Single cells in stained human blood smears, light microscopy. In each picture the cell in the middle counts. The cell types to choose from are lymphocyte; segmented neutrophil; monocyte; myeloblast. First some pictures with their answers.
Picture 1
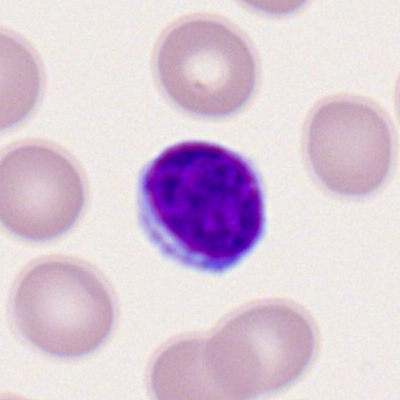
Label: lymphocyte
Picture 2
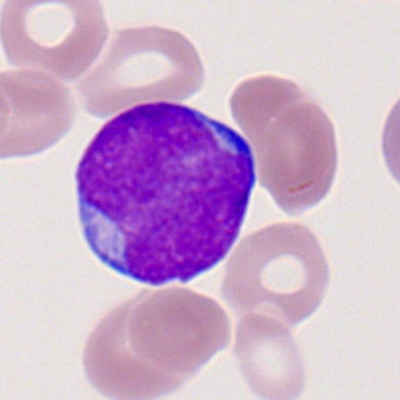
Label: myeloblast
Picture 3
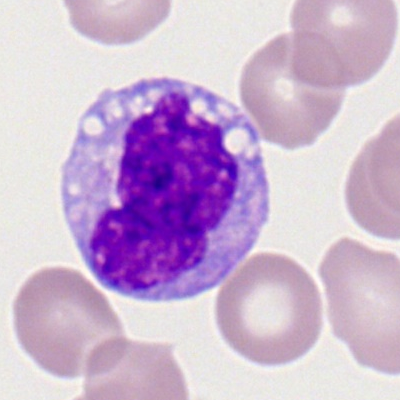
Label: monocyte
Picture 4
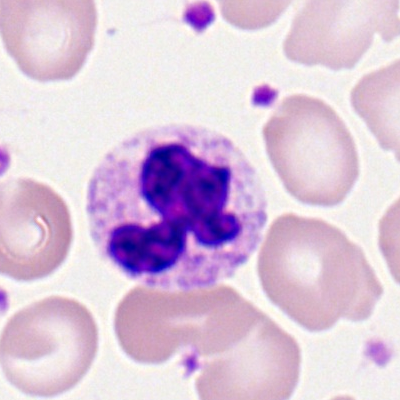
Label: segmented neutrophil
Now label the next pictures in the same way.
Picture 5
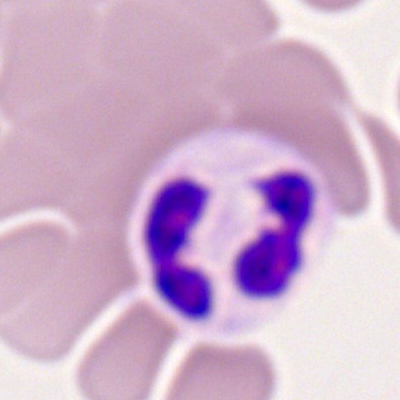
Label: segmented neutrophil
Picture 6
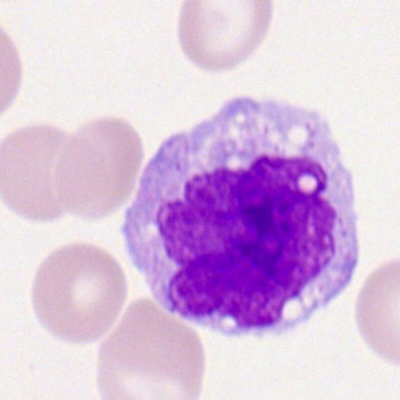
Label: monocyte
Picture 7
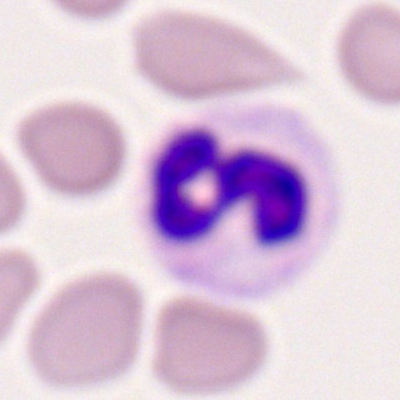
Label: segmented neutrophil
